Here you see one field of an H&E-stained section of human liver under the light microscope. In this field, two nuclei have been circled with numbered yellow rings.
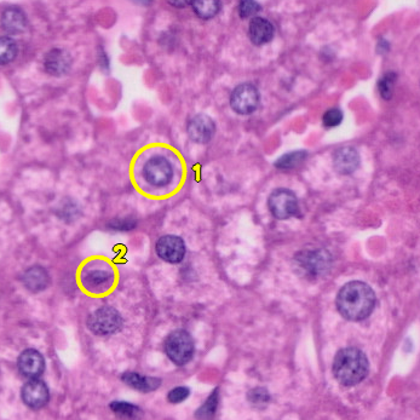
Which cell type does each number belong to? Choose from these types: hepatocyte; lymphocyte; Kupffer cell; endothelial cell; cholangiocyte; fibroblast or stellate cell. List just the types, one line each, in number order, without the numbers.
hepatocyte
fibroblast or stellate cell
